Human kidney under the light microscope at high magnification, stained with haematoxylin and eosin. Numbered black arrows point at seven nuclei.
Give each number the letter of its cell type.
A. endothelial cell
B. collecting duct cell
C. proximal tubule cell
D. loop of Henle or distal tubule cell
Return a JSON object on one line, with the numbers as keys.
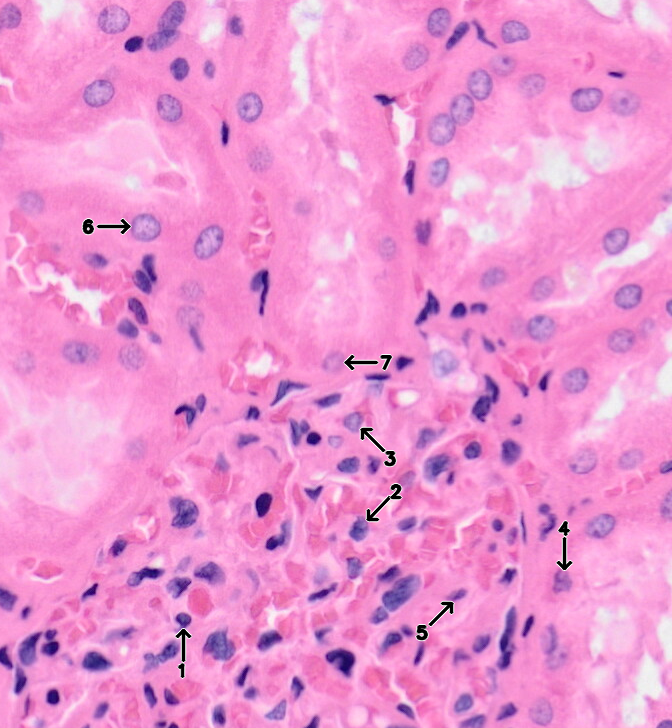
{"1": "A", "2": "A", "3": "A", "4": "C", "5": "A", "6": "C", "7": "C"}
